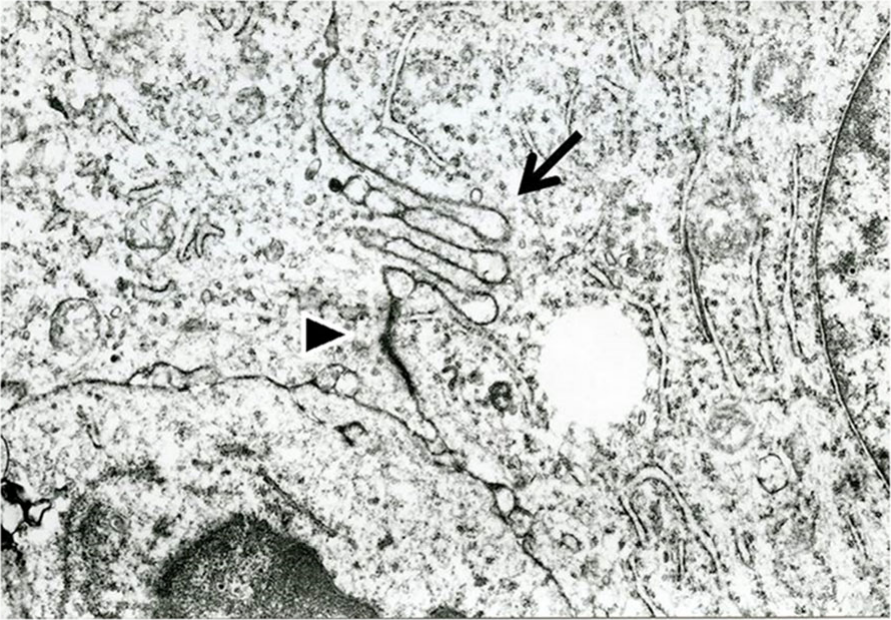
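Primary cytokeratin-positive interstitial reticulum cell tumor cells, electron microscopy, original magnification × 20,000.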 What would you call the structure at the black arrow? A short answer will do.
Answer: Interdigitating cell processes.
